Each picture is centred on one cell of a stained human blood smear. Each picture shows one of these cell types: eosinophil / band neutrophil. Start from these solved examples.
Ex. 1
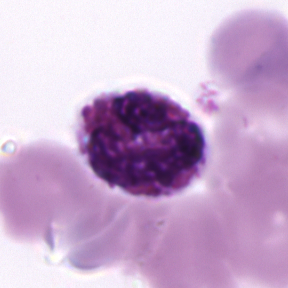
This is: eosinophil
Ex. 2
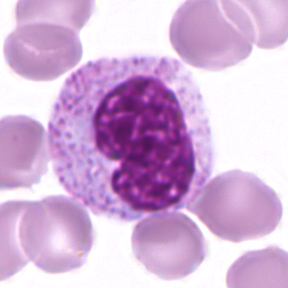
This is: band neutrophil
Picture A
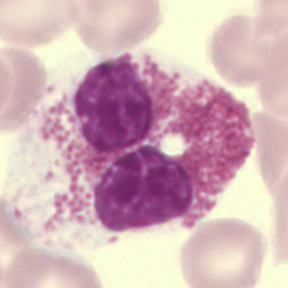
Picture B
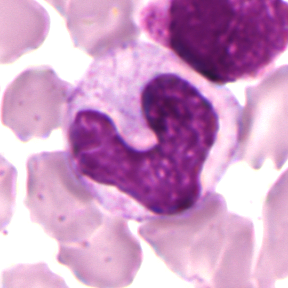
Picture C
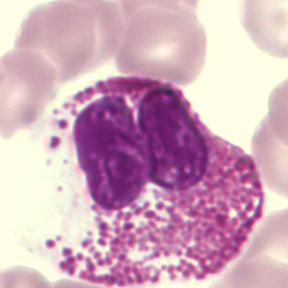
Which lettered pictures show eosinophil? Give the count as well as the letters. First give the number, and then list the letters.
Count: 2 (A, C)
